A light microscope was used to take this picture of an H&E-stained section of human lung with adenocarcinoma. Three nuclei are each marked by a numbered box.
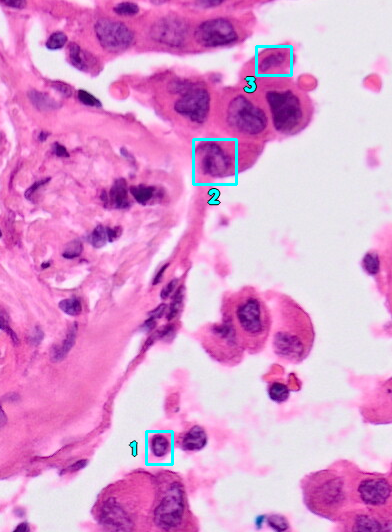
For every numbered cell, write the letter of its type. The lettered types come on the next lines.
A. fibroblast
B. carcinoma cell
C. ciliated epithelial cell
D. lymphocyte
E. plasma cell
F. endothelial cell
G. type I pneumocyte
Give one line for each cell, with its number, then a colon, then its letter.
1: D
2: B
3: B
